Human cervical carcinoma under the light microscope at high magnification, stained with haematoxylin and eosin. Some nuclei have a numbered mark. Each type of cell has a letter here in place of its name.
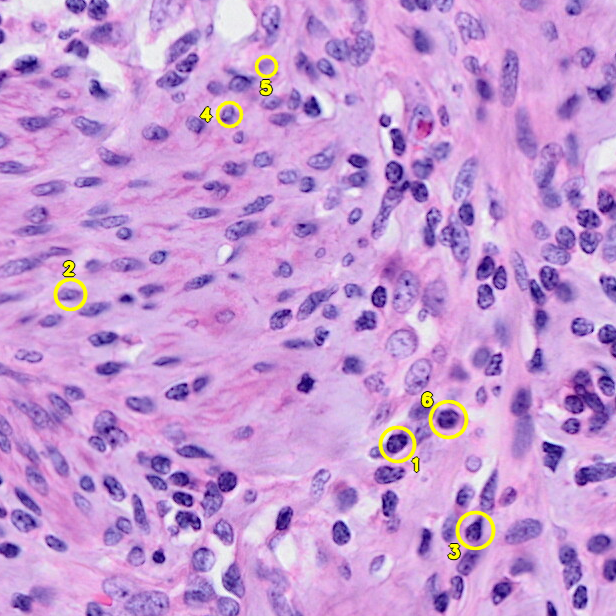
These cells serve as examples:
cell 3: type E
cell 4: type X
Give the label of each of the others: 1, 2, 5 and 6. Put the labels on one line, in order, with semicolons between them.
type E; type X; type X; type E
